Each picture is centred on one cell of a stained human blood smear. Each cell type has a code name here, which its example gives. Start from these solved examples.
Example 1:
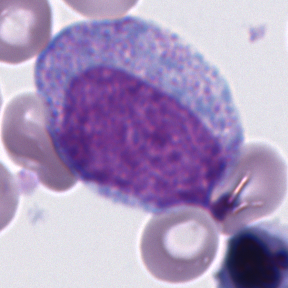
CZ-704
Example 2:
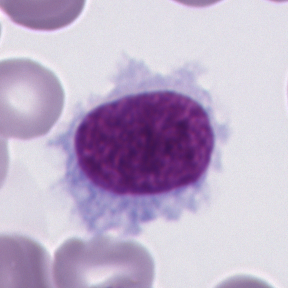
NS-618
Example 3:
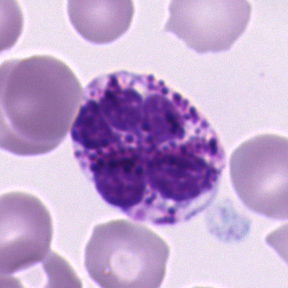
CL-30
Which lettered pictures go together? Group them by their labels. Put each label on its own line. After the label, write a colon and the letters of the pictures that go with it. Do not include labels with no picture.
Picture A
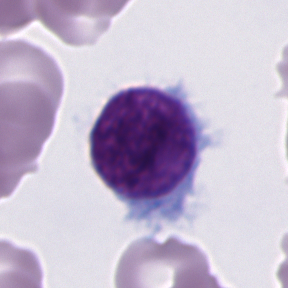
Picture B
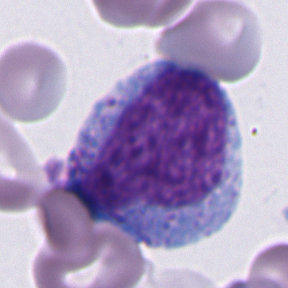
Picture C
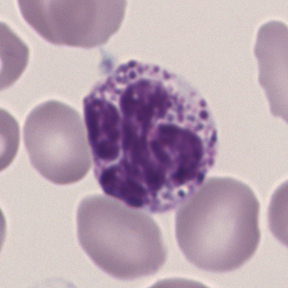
CZ-704: B
NS-618: A
CL-30: C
